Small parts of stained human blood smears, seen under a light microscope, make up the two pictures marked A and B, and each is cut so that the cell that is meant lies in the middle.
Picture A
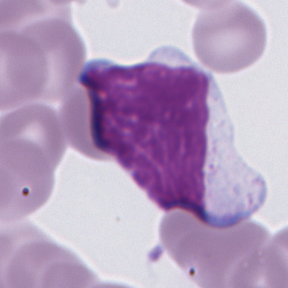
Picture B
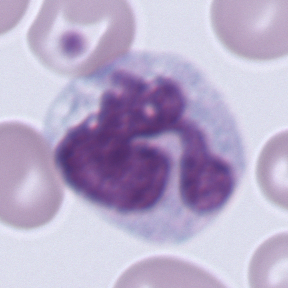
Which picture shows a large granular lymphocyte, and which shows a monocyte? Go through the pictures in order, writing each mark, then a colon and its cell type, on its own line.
A: large granular lymphocyte
B: monocyte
